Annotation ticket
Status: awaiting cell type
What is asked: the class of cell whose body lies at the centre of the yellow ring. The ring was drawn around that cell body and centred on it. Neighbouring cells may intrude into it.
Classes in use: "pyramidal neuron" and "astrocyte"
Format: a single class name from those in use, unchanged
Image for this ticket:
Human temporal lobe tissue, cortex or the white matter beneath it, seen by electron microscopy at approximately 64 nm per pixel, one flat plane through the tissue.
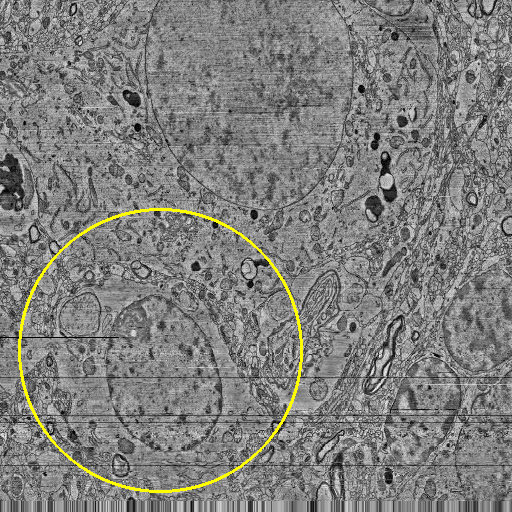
astrocyte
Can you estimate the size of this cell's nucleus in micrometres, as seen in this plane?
In this plane, roughly 10 by 7 micrometres.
